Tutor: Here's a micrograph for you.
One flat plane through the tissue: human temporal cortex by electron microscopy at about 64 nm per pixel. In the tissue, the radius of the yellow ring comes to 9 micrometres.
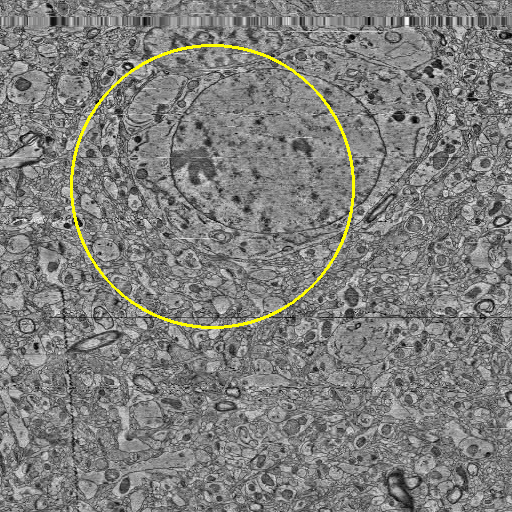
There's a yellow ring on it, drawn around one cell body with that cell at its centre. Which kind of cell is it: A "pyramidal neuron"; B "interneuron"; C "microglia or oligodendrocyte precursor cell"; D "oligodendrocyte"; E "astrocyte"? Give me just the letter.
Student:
A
